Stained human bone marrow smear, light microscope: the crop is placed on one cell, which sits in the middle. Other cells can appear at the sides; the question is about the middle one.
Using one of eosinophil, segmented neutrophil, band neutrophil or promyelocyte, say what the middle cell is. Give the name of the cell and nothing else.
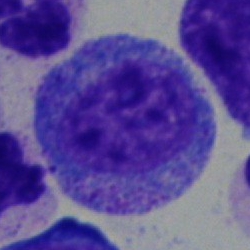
promyelocyte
